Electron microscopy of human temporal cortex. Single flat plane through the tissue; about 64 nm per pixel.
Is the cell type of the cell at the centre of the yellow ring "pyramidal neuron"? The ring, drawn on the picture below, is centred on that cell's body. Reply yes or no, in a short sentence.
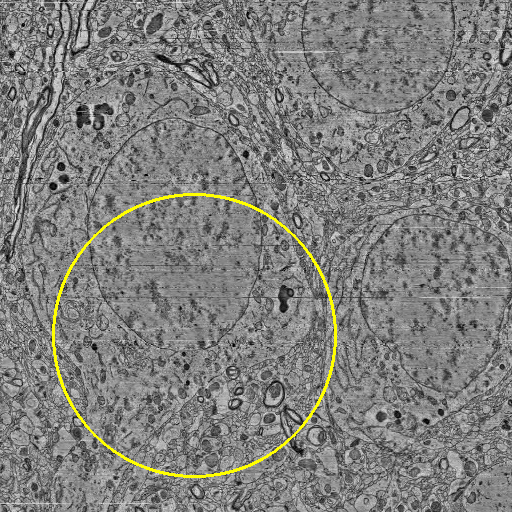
Yes, that is its cell type.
